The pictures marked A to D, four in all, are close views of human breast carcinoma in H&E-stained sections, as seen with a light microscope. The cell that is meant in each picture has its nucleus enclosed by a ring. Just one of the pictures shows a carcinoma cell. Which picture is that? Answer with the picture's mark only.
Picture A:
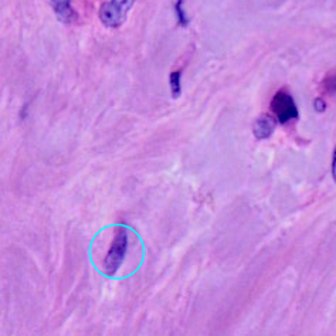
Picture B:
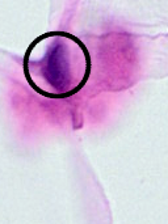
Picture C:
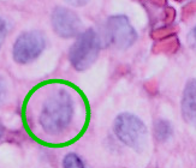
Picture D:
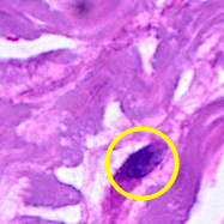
C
